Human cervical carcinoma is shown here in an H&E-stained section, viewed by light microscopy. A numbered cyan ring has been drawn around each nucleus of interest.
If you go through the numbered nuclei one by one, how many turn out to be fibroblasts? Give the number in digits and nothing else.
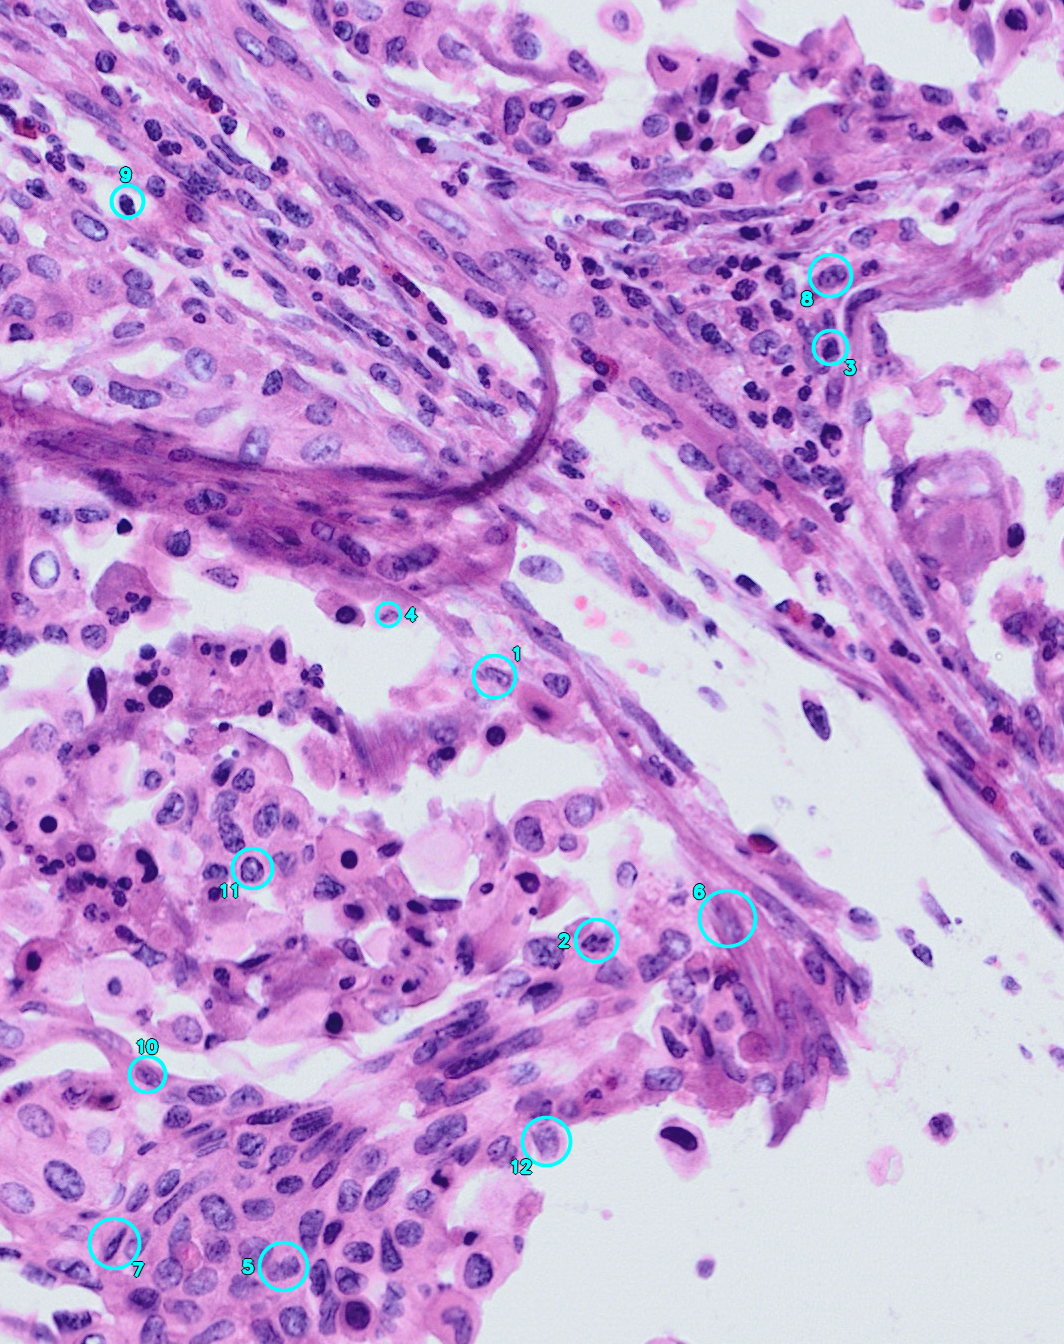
1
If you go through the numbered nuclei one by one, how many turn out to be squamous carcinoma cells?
7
